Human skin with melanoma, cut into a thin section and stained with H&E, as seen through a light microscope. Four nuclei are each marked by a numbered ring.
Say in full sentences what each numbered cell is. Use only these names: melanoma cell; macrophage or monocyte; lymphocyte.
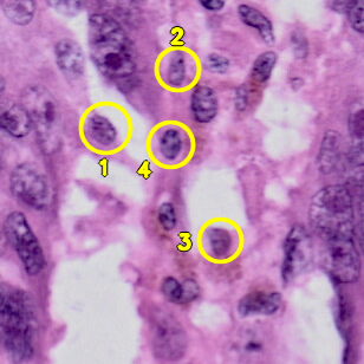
Cell 1 is a melanoma cell, cell 2 is a macrophage or monocyte, cell 3 is a macrophage or monocyte and cell 4 is a lymphocyte.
